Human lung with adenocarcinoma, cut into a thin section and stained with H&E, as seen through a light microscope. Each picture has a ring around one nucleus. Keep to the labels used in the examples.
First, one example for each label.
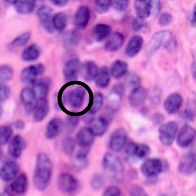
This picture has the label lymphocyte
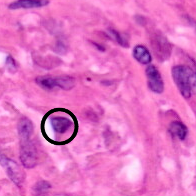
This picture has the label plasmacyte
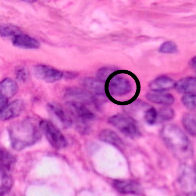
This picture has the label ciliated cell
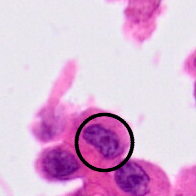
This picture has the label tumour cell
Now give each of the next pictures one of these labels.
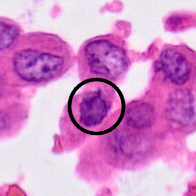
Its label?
tumour cell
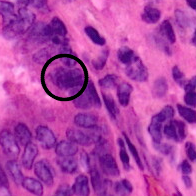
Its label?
ciliated cell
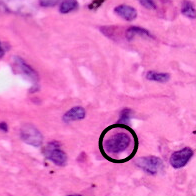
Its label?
plasmacyte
